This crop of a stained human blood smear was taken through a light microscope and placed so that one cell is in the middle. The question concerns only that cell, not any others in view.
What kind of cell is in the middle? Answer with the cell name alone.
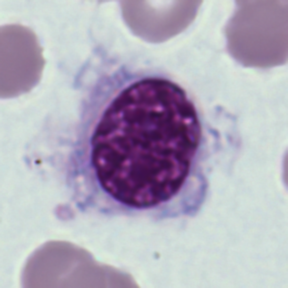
plasma cell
